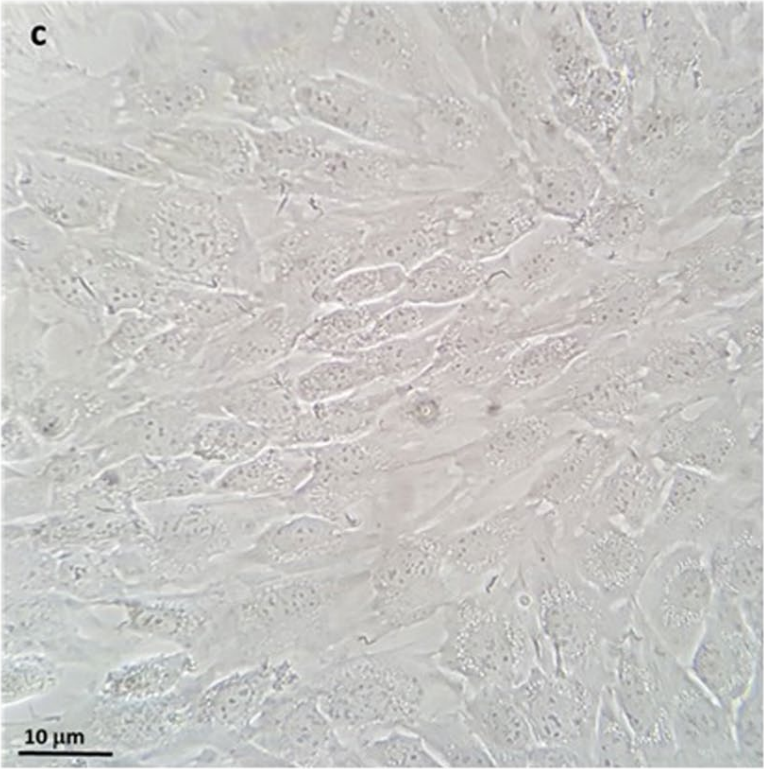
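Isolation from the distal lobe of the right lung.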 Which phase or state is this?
Cobblestone morphology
